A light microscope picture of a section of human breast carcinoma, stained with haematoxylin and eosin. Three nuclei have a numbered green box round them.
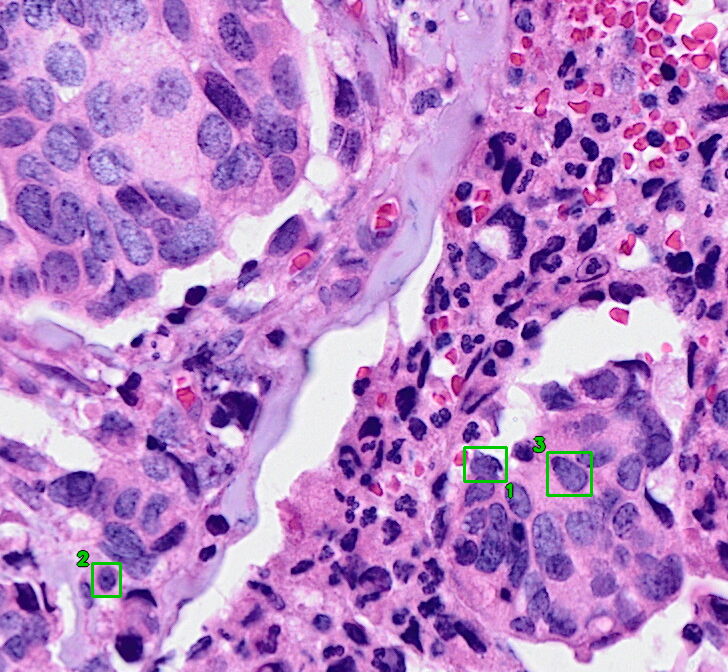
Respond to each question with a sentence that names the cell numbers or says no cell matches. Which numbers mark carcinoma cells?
Within this tissue, the cells numbered 1 and 3 are carcinoma cells.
